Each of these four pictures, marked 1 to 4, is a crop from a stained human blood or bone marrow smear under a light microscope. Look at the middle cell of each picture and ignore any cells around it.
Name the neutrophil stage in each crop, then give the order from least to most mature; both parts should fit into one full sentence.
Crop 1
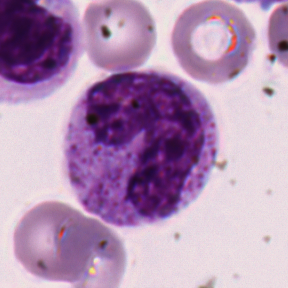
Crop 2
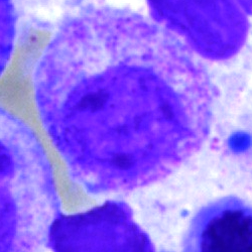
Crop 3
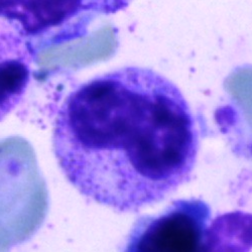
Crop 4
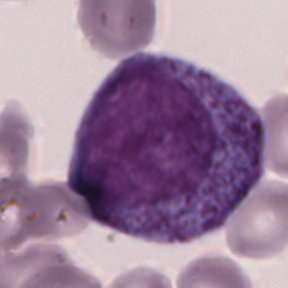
From least mature through to most mature, the order is crop 4 (a promyelocyte), crop 2 (a myelocyte), crop 3 (a metamyelocyte) and crop 1 (a band neutrophil).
